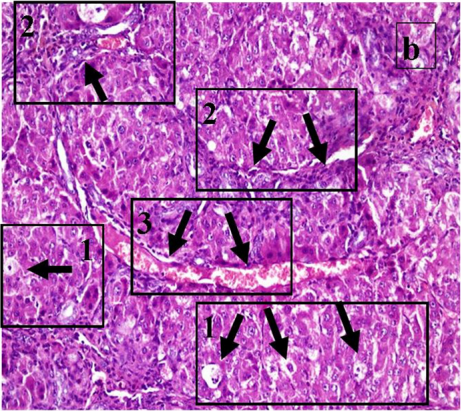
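Liver tissue with disordered plates of hepatocytes having pink cytoplasm and round purple nuclei. Some hepatocytes contain clear round vacuoles of steatosis, while bands of densely packed small dark nuclei form inflammatory bridges across the lobule. A congested vessel filled with red blood cells runs across the field, with cellular infiltrate along its wall.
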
